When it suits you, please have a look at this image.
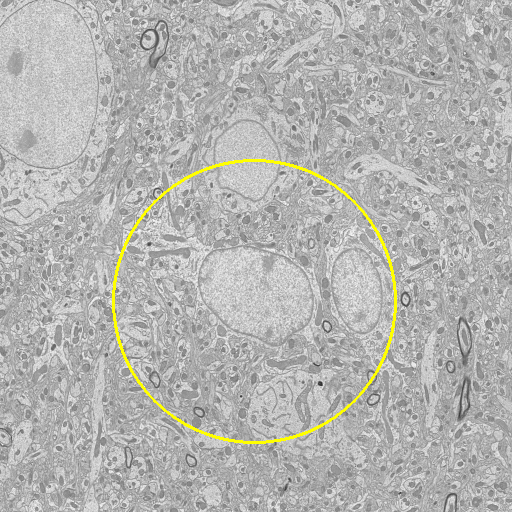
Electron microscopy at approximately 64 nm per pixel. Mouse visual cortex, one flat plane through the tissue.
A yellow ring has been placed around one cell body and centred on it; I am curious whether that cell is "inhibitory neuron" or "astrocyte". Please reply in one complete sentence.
The ringed cell, an astrocyte, has its body at the centre of the yellow ring.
